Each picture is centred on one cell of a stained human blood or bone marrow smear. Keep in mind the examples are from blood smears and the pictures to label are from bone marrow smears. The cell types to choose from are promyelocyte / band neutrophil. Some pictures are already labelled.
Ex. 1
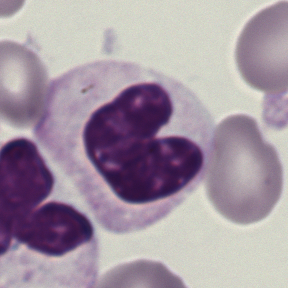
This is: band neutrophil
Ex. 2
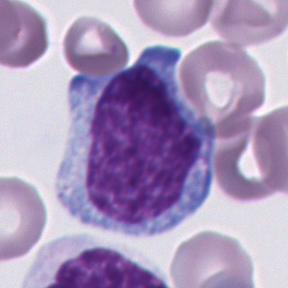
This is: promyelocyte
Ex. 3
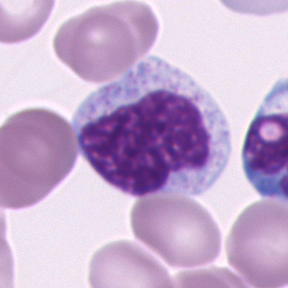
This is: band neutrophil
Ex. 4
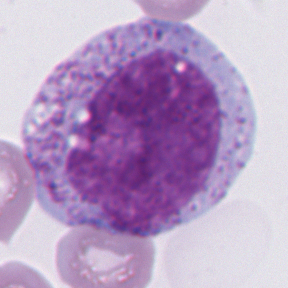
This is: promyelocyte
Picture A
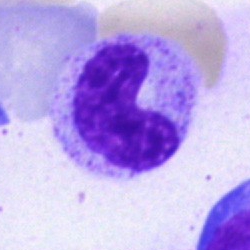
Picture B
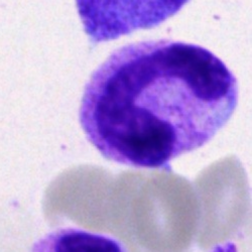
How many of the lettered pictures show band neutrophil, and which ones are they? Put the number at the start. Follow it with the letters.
2, namely A, B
